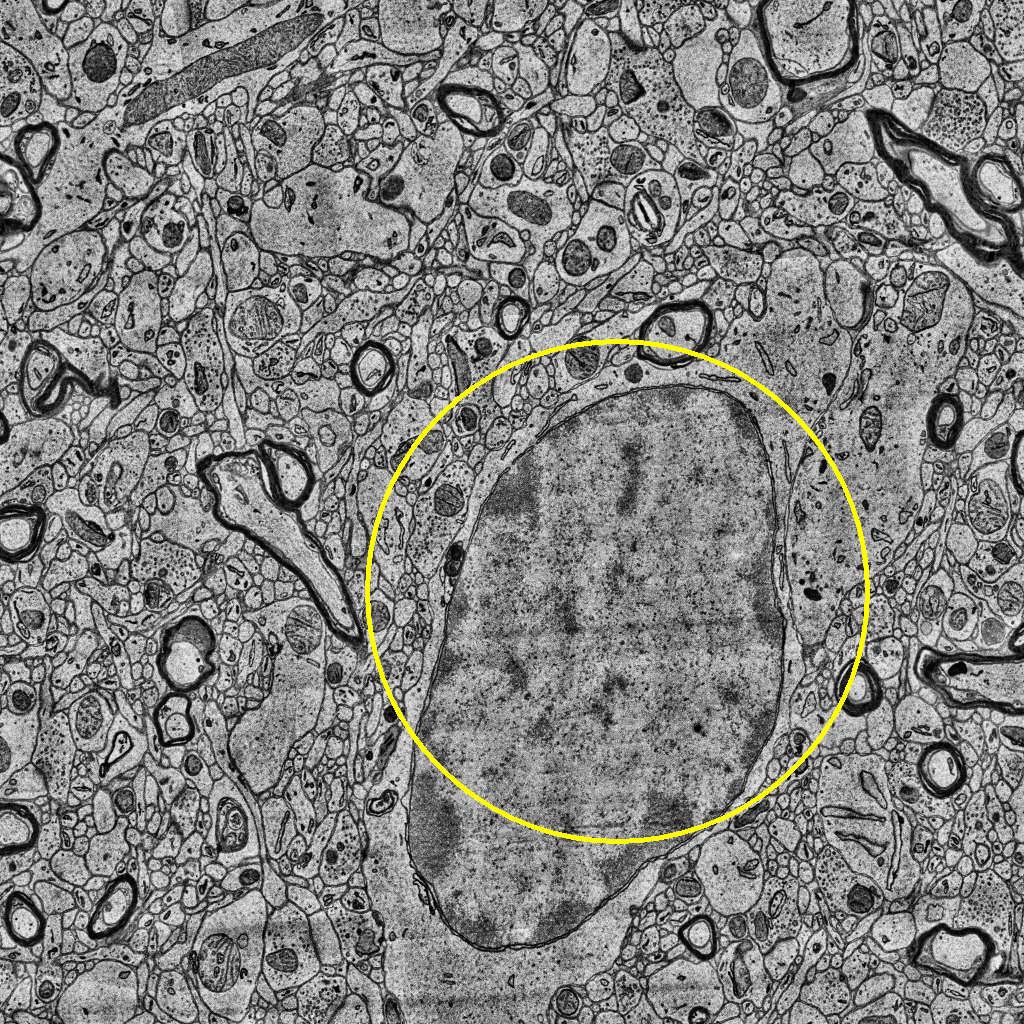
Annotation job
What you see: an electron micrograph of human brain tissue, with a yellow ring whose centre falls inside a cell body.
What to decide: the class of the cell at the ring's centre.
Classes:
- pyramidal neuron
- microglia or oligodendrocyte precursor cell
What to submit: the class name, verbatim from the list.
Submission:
microglia or oligodendrocyte precursor cell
